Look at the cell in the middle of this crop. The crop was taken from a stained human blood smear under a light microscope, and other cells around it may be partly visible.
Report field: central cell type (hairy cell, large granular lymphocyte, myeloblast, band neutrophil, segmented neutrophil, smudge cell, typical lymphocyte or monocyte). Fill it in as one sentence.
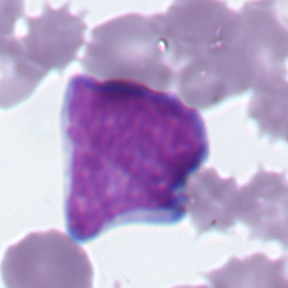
This particular crop is centered on a myeloblast.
